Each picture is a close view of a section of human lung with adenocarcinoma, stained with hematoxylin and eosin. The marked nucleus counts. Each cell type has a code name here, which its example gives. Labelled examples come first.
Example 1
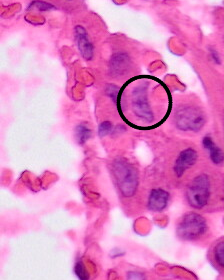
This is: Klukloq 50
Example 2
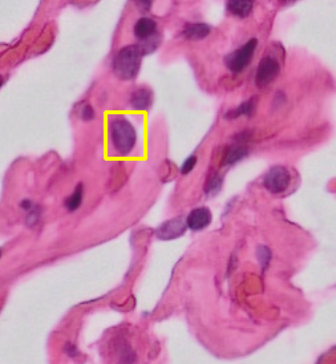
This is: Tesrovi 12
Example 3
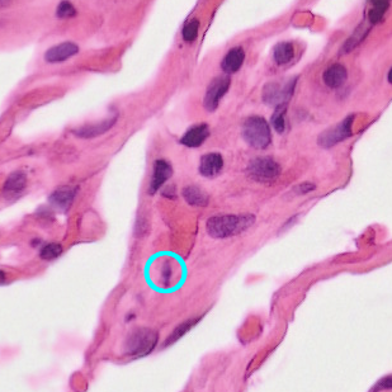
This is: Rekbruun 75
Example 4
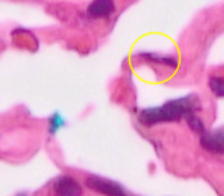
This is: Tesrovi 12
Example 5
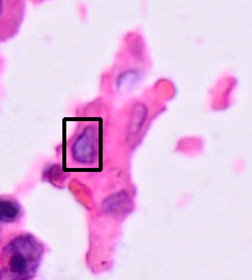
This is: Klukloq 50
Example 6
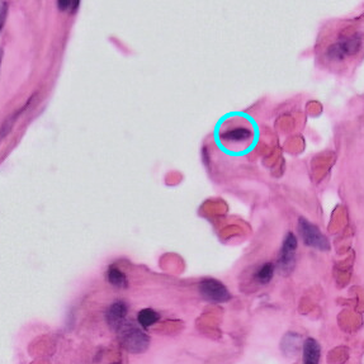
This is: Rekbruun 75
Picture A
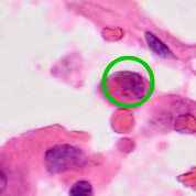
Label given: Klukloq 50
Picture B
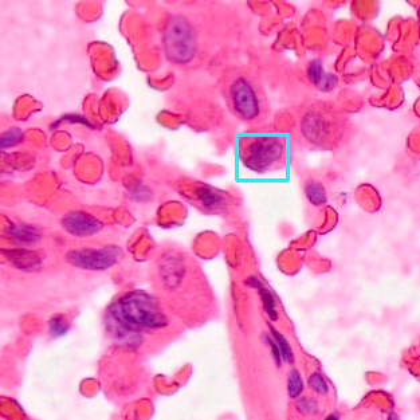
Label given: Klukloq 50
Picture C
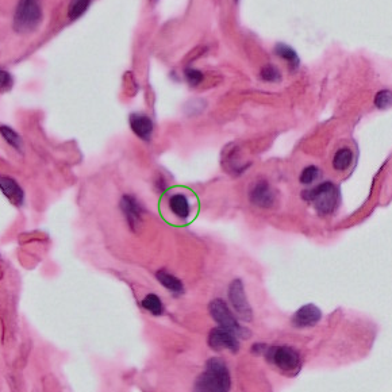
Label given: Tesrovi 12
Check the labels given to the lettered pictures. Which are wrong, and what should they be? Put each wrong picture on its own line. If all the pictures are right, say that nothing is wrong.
Nothing to fix; every label fits.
